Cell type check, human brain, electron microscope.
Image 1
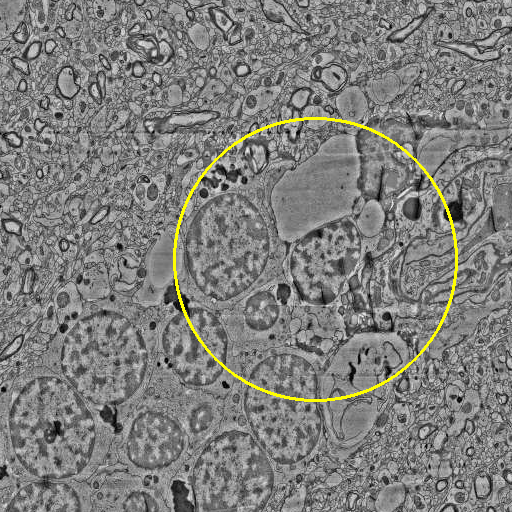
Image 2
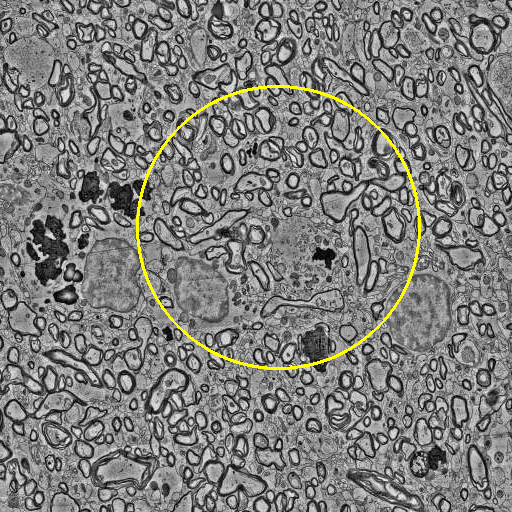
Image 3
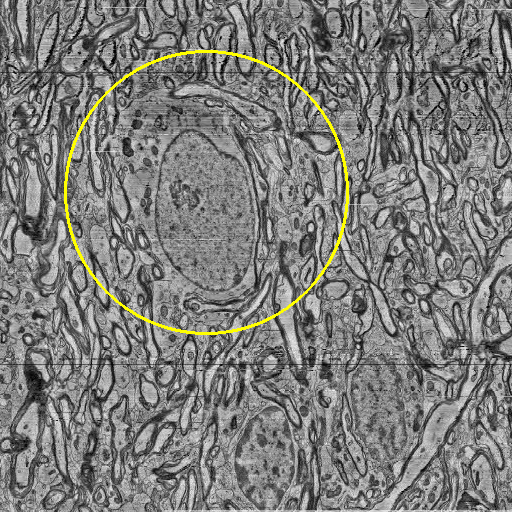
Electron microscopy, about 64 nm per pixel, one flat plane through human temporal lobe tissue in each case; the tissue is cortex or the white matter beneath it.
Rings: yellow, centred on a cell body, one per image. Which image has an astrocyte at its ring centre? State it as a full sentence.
The ring in Image 3 is centred on it.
